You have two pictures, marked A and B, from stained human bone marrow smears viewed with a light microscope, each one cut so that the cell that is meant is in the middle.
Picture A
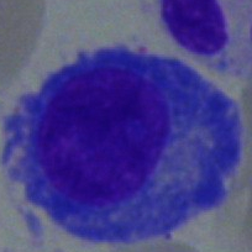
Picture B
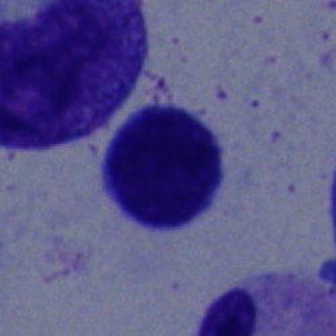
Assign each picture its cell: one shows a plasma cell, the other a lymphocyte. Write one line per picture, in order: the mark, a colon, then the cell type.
A: plasma cell
B: lymphocyte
